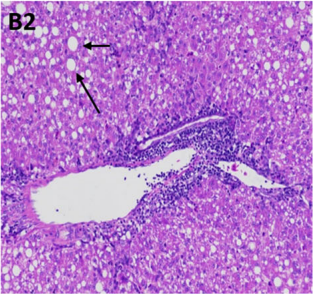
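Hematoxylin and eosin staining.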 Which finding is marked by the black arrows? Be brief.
Cellular vacuolization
